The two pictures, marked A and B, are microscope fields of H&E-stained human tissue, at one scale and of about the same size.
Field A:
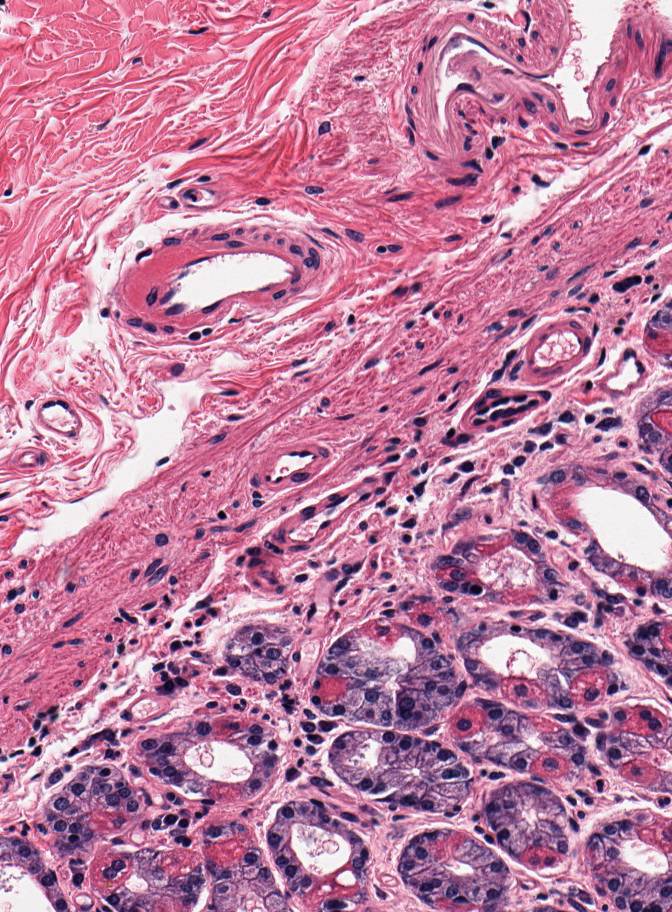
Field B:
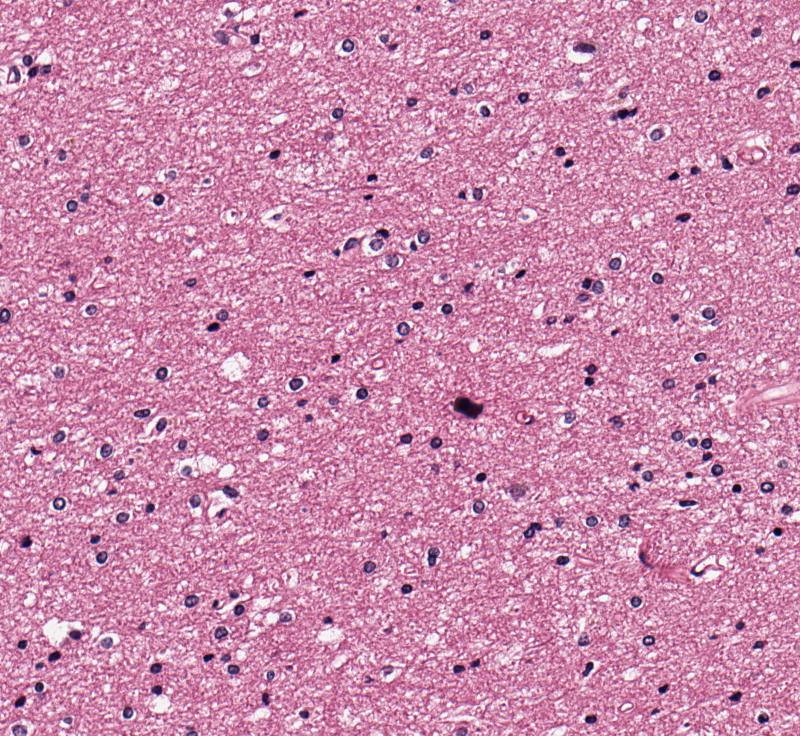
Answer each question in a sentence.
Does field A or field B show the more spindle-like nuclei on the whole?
It is field A whose nuclei are the more elongated.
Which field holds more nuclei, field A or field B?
It is field A that has more nuclei in it.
